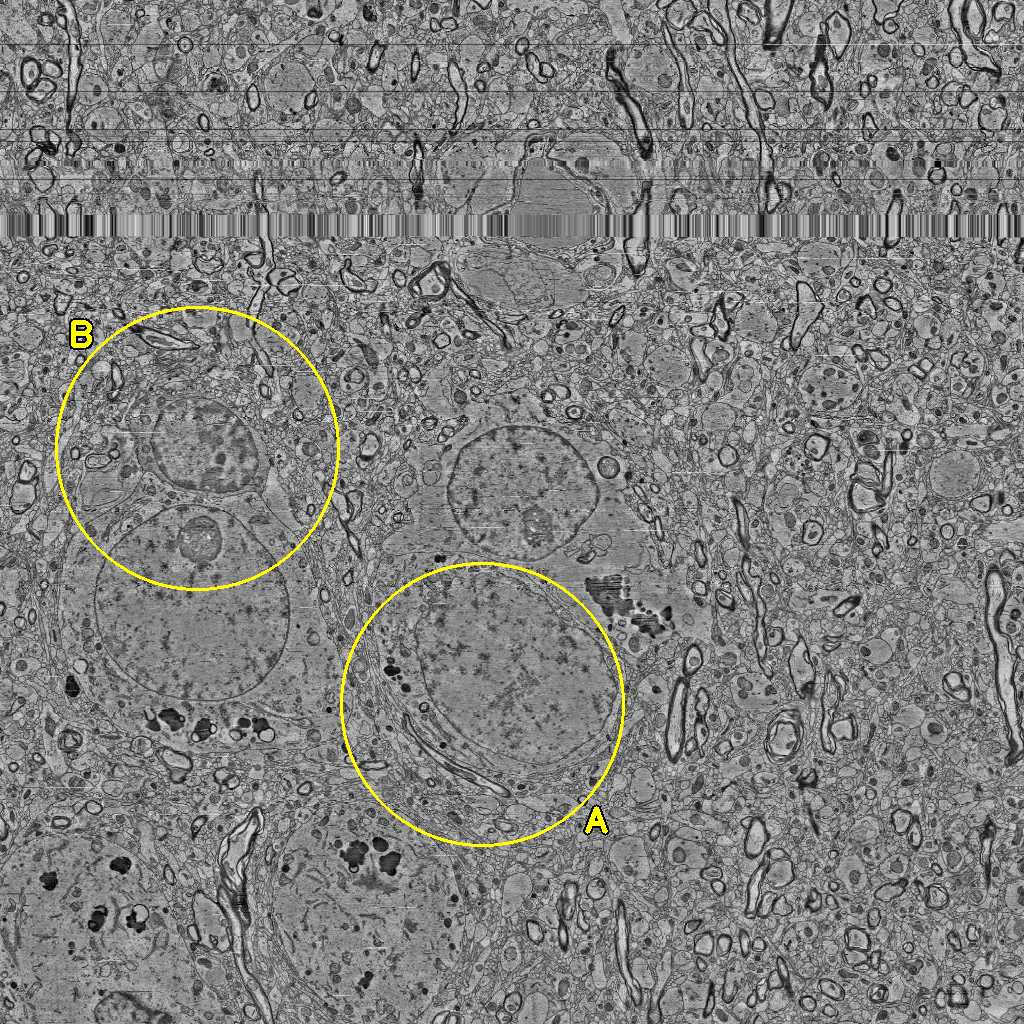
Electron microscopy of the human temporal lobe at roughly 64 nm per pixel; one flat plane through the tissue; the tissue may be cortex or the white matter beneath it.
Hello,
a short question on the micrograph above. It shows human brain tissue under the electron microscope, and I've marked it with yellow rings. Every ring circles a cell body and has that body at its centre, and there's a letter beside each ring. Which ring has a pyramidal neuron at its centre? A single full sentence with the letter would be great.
The cell you asked about sits at the centre of ring A.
